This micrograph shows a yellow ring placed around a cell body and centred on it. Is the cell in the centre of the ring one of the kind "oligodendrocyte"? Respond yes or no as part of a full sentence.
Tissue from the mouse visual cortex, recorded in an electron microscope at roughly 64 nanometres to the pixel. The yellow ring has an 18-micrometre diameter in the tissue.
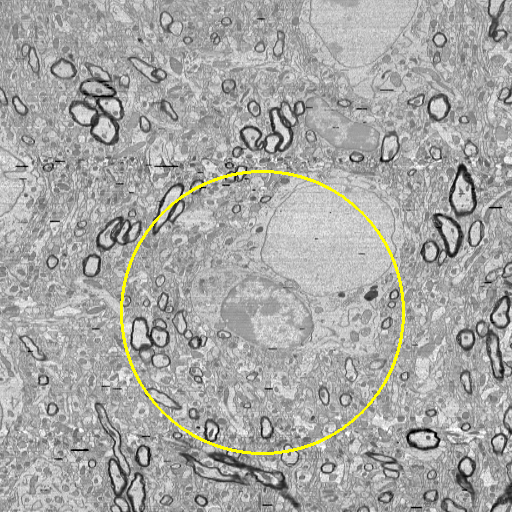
Yes, the cell in the centre of the ring within the picture is one of that kind.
